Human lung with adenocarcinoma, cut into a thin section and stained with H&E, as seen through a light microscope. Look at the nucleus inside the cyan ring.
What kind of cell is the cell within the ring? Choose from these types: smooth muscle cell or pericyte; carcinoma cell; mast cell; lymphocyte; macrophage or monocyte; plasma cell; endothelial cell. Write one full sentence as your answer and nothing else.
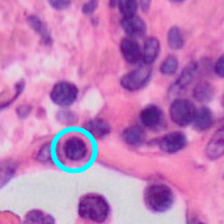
With respect to cell type, the cell within the ring is a lymphocyte.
